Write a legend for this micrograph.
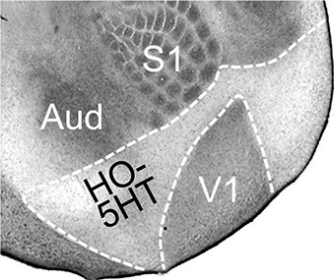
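In the upper part a field of rounded, dark patches lies in orderly rows, separated by thin pale walls, forming a honeycomb-like pattern. To its left lies a more diffusely stained, moderately dark region. Toward the lower right a sharply bounded, dark, roughly triangular area stands out. Between and around these, a broad pale, nearly unstained belt separates the dark areas, its edges traced by white dashed lines. Individual cells cannot be resolved at this magnification.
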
